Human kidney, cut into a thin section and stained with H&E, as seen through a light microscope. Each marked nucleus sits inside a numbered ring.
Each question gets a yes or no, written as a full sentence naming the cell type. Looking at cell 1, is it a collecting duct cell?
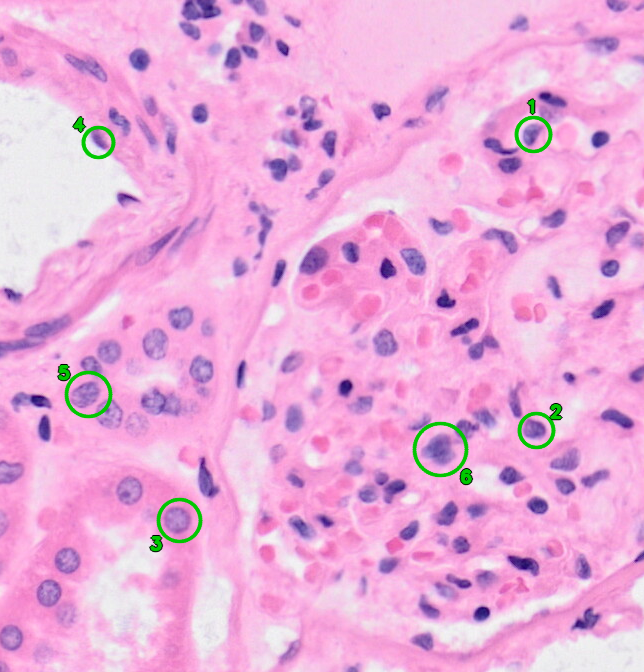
No, it's not a collecting duct cell at number 1; that cell is an endothelial cell.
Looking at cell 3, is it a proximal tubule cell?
Yes, the cell identified as number 3 is a proximal tubule cell.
